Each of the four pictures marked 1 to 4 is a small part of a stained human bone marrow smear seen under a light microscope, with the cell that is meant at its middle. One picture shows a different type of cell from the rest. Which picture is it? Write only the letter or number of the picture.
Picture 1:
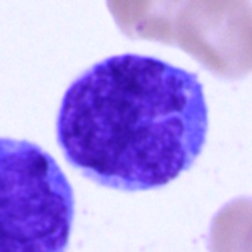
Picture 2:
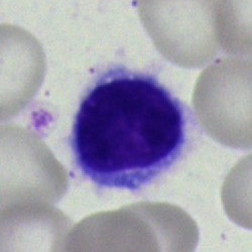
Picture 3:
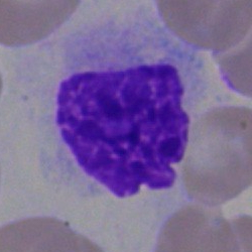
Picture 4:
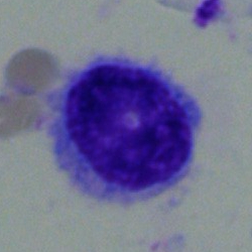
1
